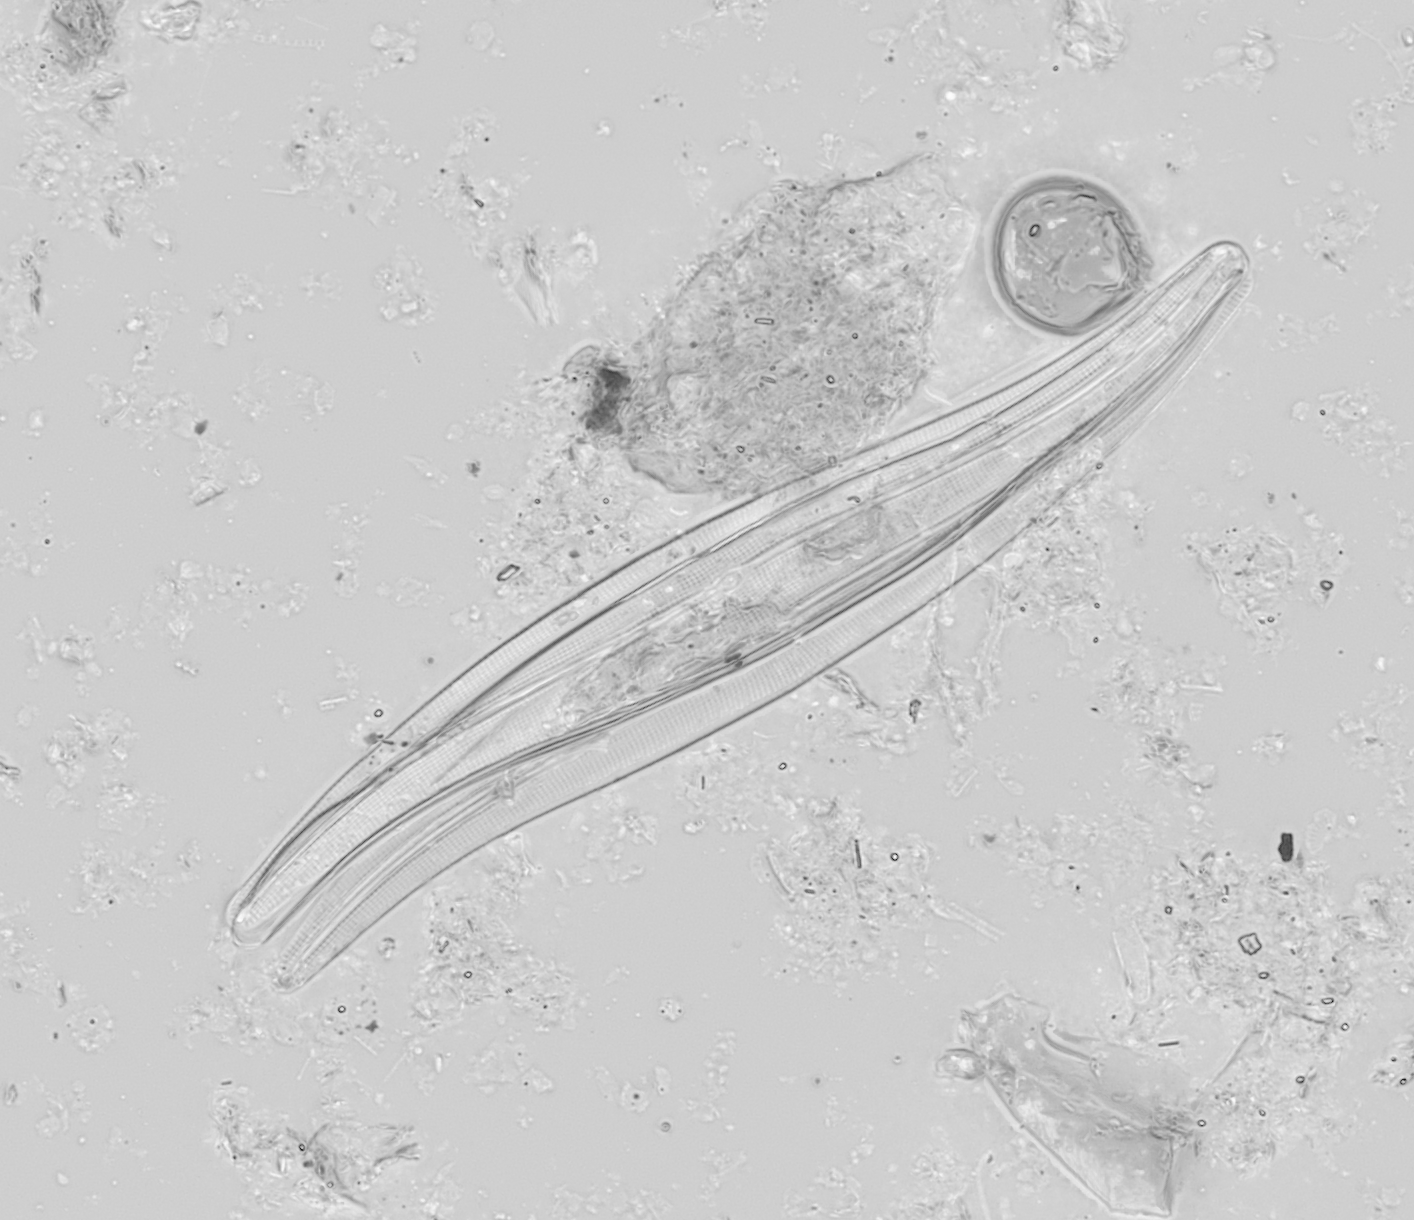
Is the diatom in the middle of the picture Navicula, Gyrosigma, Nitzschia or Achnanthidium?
It is Gyrosigma.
